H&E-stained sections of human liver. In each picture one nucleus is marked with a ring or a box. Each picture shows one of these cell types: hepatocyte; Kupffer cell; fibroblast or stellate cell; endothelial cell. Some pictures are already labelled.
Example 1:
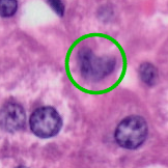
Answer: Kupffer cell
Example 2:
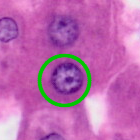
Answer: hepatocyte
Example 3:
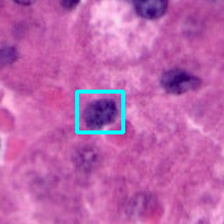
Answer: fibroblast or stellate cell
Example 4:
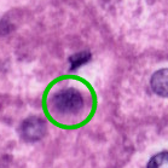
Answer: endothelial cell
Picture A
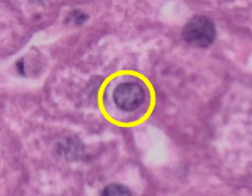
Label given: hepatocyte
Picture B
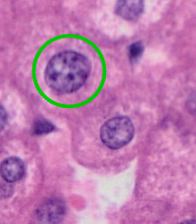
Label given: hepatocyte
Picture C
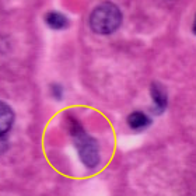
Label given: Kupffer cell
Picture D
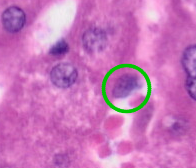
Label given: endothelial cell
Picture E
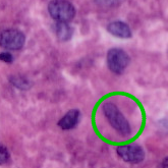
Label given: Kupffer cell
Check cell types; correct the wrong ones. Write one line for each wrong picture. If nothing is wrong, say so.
Every label is right.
